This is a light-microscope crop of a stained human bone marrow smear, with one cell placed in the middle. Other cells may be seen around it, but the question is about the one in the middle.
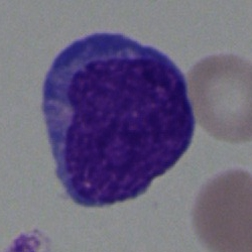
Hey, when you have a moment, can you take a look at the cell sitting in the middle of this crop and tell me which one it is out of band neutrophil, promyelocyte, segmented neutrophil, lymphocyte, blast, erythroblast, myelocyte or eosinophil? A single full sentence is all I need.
This crop has a blast at its centre.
